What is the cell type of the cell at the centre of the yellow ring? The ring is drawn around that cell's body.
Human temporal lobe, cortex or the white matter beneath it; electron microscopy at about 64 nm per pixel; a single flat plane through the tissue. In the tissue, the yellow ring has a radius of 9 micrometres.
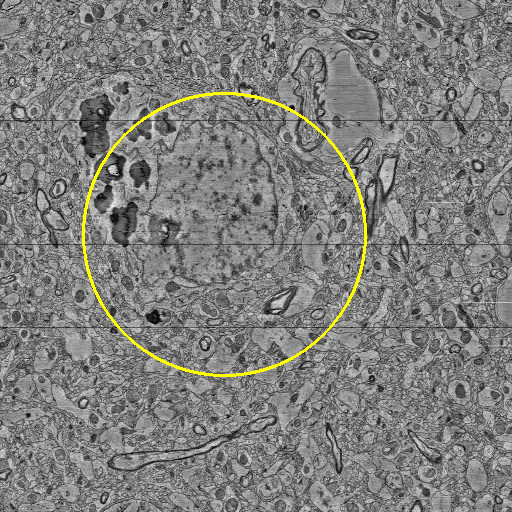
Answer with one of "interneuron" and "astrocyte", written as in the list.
interneuron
